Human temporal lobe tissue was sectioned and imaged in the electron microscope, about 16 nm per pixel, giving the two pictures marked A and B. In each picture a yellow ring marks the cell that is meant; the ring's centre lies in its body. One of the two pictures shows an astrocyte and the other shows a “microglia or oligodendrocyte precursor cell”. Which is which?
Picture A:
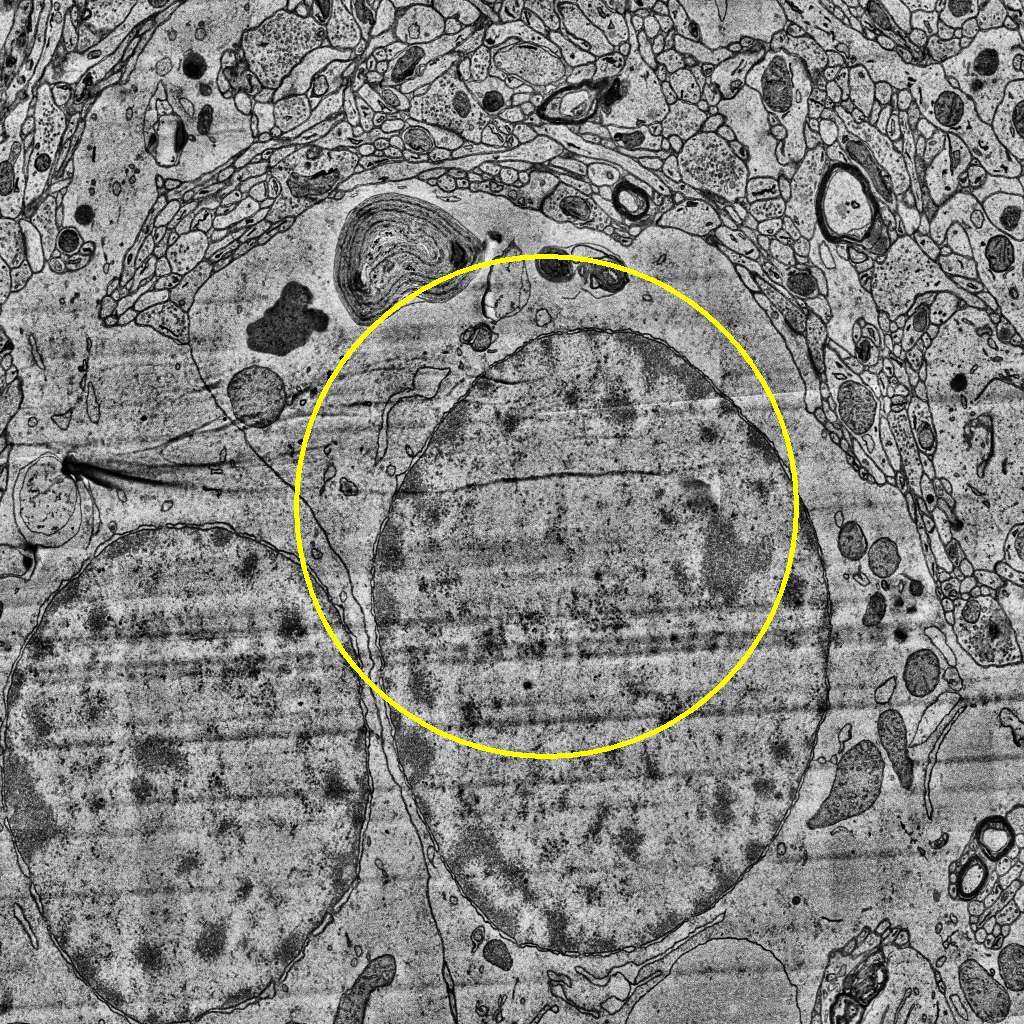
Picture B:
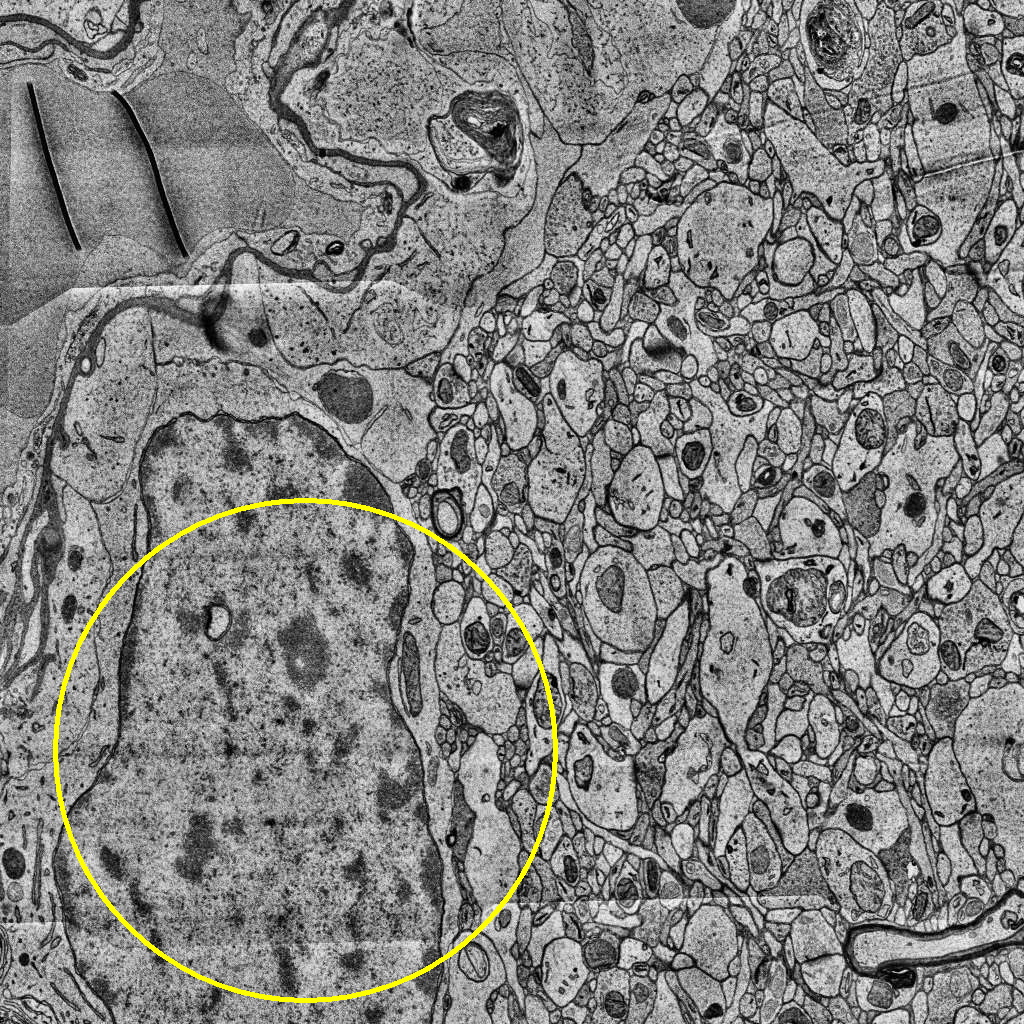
Picture B shows a “microglia or oligodendrocyte precursor cell”, while picture A shows an astrocyte.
